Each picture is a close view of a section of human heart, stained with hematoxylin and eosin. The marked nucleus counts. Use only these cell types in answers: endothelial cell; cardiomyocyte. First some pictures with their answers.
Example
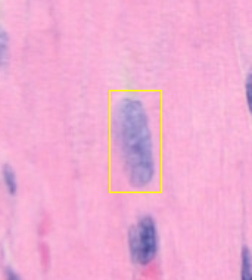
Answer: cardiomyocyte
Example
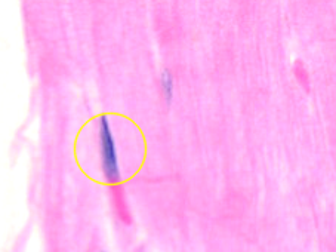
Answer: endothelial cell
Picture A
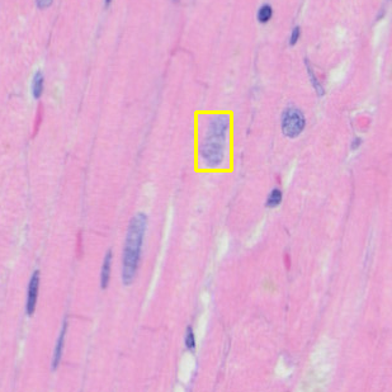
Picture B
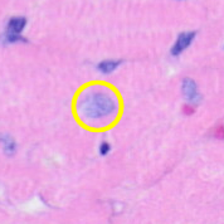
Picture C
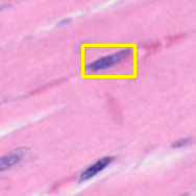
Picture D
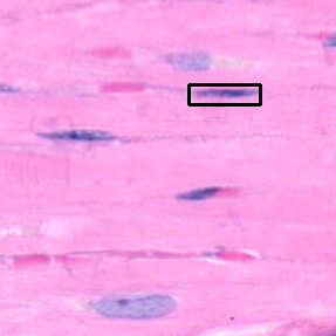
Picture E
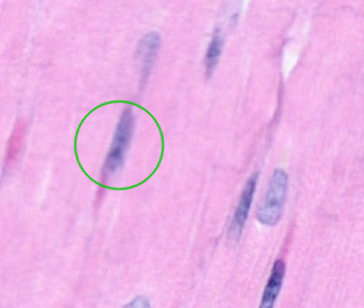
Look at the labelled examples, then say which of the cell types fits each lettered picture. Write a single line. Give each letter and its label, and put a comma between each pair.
A cardiomyocyte, B cardiomyocyte, C endothelial cell, D endothelial cell, E endothelial cell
